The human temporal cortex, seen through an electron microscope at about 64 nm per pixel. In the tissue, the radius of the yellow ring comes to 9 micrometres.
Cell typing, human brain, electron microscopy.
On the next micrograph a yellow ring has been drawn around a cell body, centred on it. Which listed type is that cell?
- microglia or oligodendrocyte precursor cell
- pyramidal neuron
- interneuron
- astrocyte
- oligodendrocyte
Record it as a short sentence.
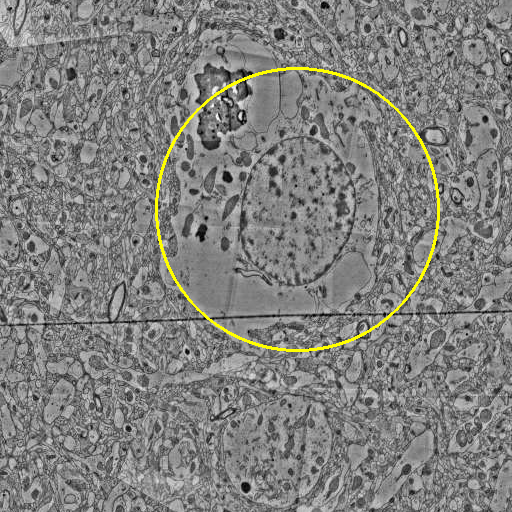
The cell body in the ring's centre belongs to an astrocyte.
